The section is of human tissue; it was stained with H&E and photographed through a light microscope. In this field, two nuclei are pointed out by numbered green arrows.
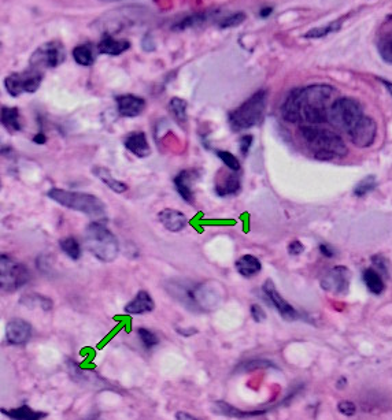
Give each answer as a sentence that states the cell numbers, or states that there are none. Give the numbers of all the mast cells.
Where the numbered cells are concerned, only number 1 is a mast cell.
